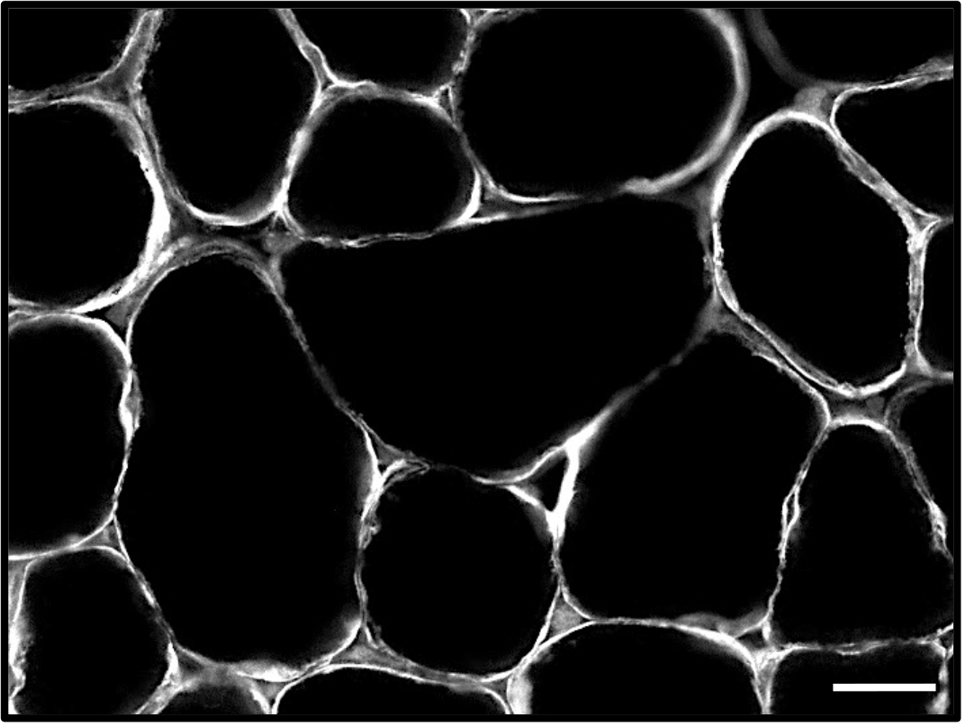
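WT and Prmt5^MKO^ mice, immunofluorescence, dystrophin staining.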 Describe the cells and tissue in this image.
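This is a high-magnification cross-section of skeletal muscle in which each myofiber appears as a dark polygonal area outlined by a bright white rim at its surface. The white lines trace the boundary of every fibre, so the section looks like a honeycomb of unequal, rounded-angular compartments. Where fibres meet, the bright rims of adjacent fibres run side by side. The interiors of the fibres are black and featureless in this view, and the fibres differ noticeably in size across the field.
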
